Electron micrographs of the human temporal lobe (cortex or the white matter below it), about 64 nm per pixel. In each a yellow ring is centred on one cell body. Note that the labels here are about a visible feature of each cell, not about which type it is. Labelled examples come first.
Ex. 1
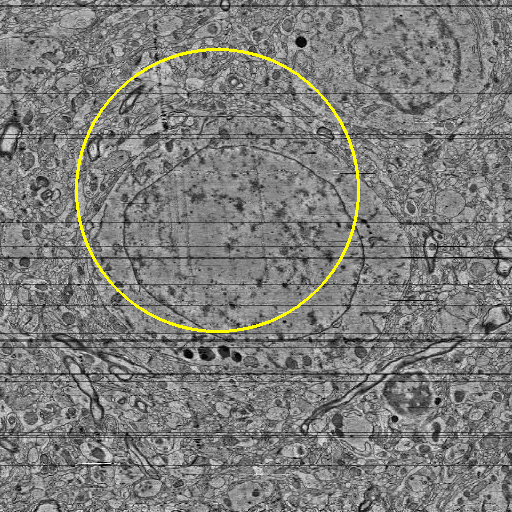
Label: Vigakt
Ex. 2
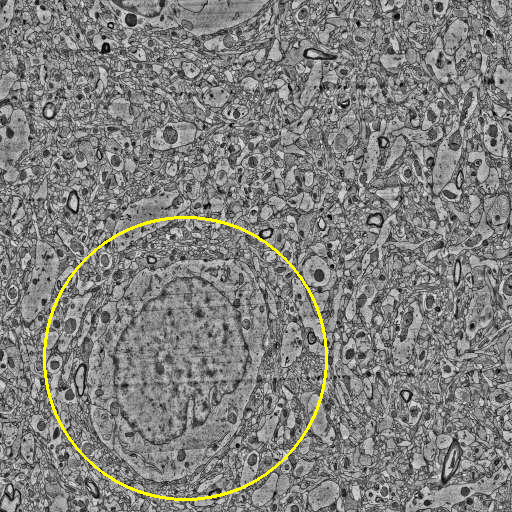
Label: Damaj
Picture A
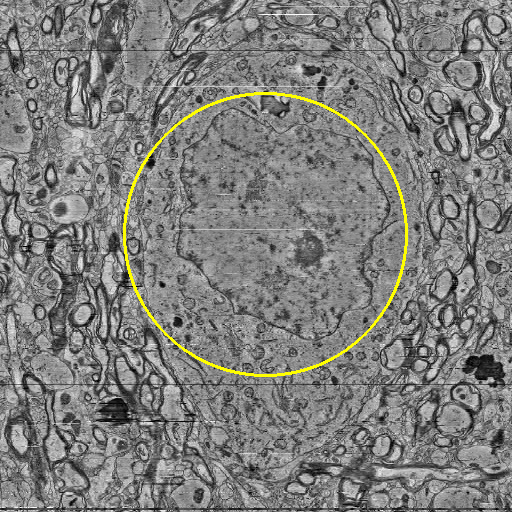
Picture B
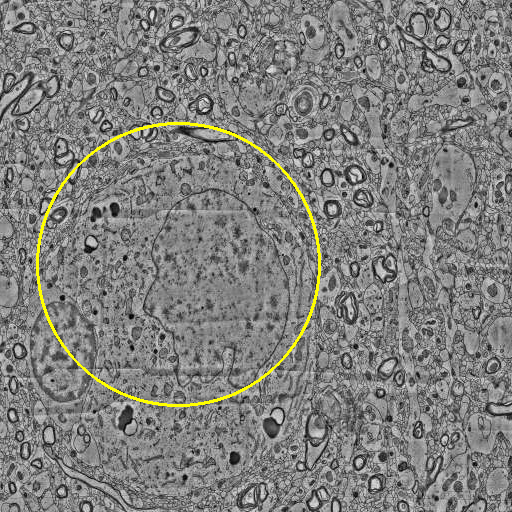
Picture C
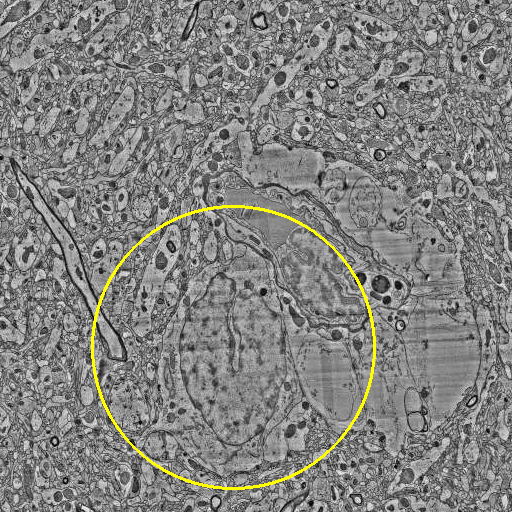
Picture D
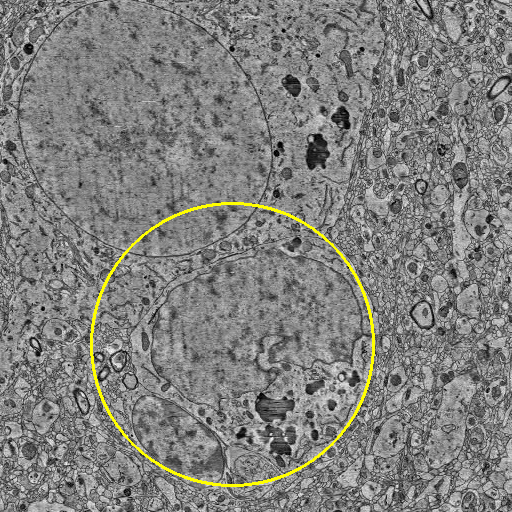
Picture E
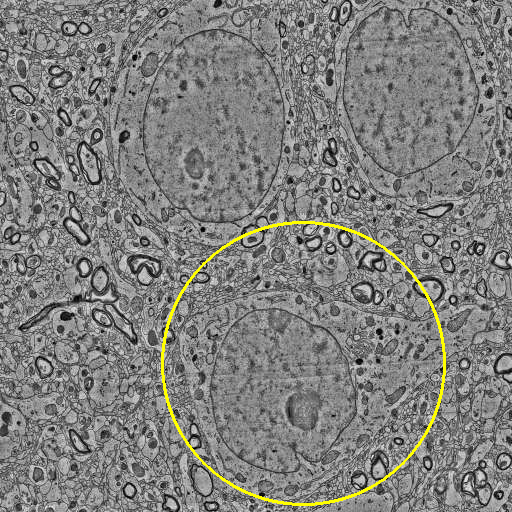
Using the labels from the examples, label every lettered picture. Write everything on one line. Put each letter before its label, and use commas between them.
A Damaj, B Damaj, C Damaj, D Damaj, E Vigakt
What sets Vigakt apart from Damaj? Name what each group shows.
Vigakt, smooth nuclear envelopes without deep folds; Damaj, deeply folded or indented nuclear envelopes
